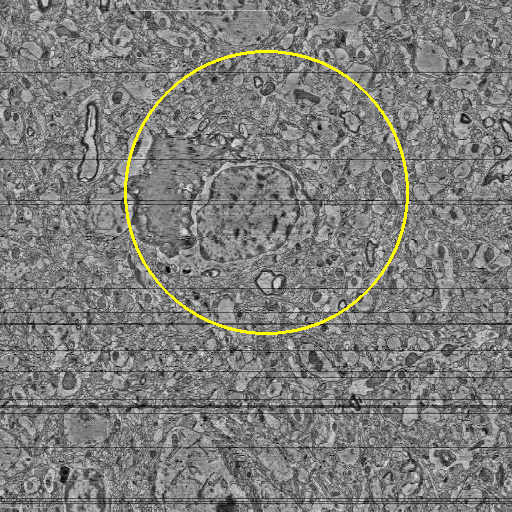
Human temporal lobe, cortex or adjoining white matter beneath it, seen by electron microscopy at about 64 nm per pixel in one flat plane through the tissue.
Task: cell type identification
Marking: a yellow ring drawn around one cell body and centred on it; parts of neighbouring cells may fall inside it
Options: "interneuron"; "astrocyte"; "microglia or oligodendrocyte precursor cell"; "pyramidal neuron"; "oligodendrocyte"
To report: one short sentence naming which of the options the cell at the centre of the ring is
The cell at the centre of the ring is a microglial cell or oligodendrocyte precursor cell.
